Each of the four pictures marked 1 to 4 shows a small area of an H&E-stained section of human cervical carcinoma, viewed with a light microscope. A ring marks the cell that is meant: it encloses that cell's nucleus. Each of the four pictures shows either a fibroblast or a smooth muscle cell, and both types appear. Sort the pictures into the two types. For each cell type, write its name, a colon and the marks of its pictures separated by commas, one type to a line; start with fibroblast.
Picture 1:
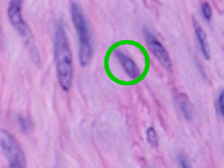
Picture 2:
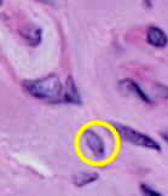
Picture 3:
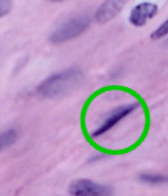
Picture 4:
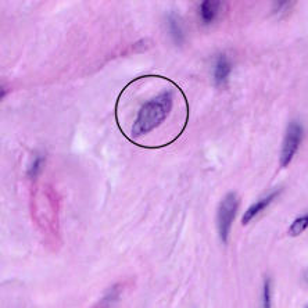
fibroblast: 2, 3, 4
smooth muscle cell: 1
